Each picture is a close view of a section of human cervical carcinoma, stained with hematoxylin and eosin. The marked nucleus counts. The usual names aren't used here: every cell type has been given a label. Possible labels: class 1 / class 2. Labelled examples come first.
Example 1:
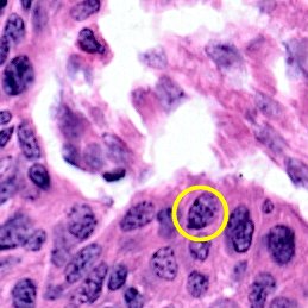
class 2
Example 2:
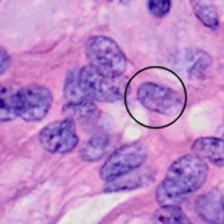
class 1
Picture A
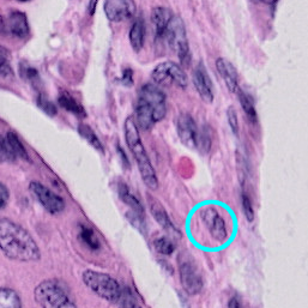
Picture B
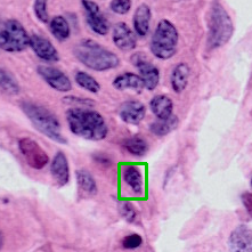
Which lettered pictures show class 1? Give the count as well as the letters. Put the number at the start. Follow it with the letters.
Count: 1 (A)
